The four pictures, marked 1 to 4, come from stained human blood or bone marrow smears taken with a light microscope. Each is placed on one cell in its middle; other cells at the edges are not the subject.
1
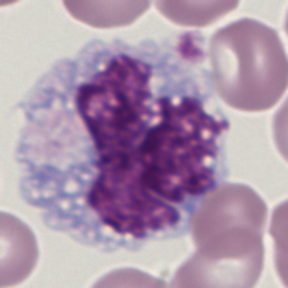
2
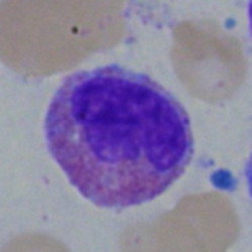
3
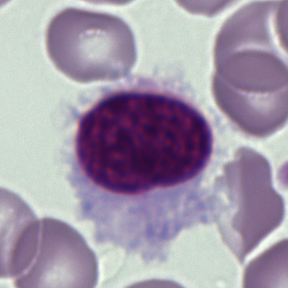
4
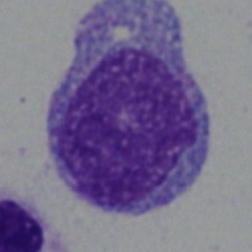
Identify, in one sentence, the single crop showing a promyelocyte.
Identified crop: 4, the one that shows a promyelocyte.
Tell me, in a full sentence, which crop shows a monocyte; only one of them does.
The one showing a monocyte is crop 1.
